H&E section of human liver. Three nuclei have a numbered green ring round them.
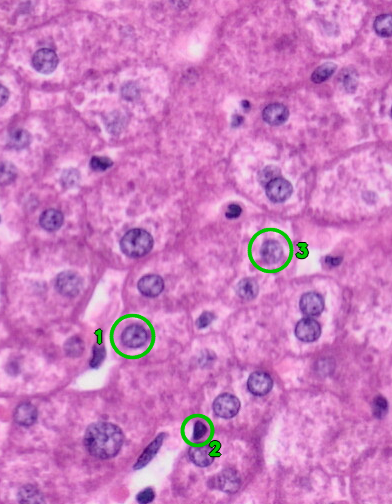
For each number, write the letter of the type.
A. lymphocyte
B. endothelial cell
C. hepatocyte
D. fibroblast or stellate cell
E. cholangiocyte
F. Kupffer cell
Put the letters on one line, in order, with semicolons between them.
C; D; C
